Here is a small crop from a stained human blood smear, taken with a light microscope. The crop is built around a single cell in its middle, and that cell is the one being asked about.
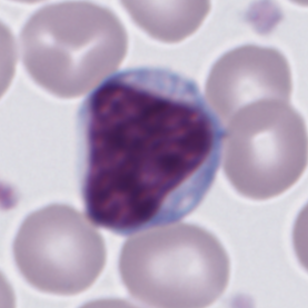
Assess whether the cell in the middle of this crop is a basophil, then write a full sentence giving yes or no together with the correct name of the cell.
No, mark the middle cell as a lymphocyte, not a basophil.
